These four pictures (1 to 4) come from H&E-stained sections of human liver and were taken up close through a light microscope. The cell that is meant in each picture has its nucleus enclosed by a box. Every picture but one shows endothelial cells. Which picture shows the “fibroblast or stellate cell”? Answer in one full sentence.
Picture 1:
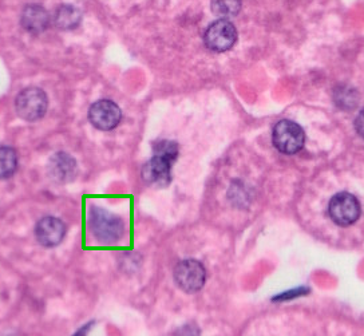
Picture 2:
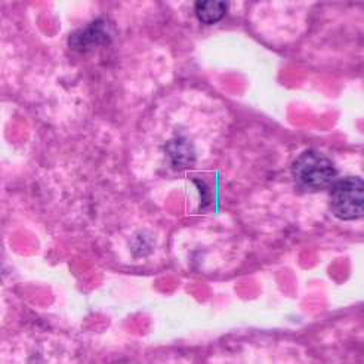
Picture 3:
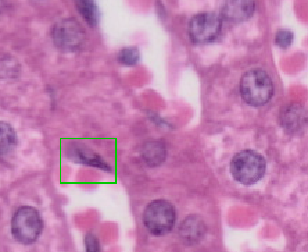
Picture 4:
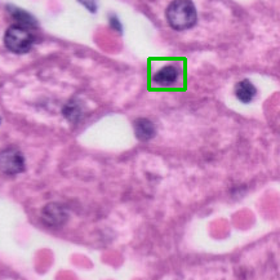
It is picture 4 that shows the “fibroblast or stellate cell”.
